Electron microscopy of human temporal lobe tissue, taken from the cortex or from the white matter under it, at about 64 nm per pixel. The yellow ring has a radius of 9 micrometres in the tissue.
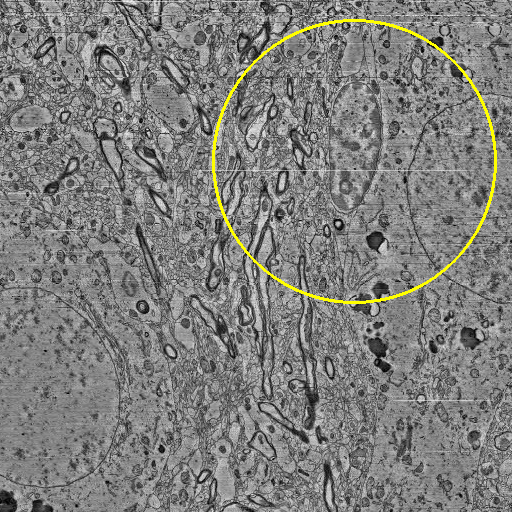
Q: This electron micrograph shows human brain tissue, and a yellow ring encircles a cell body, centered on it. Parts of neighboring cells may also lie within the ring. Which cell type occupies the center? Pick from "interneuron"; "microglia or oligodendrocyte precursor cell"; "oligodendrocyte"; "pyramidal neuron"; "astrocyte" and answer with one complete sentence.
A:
What sits at the ring's center in this micrograph is a microglial cell or oligodendrocyte precursor cell, among those choices.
